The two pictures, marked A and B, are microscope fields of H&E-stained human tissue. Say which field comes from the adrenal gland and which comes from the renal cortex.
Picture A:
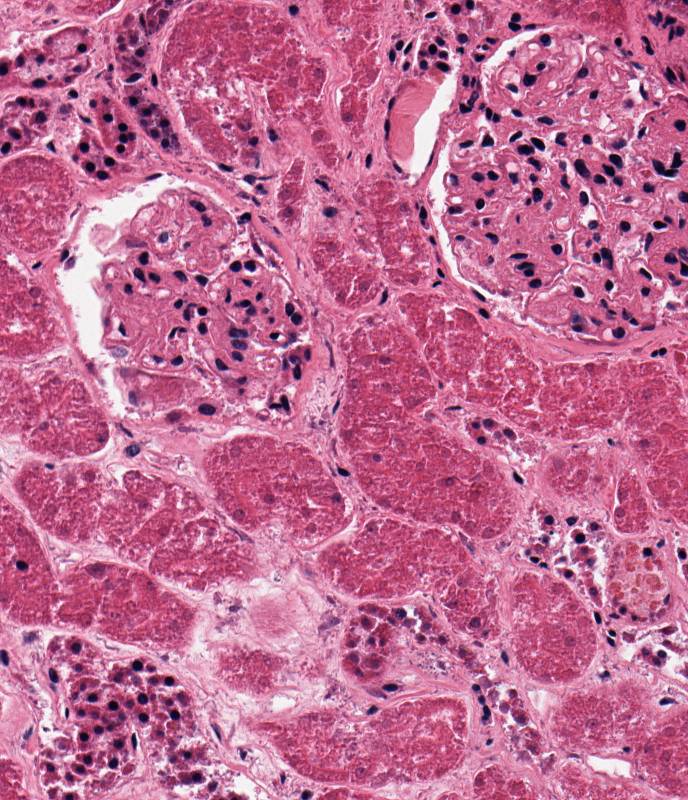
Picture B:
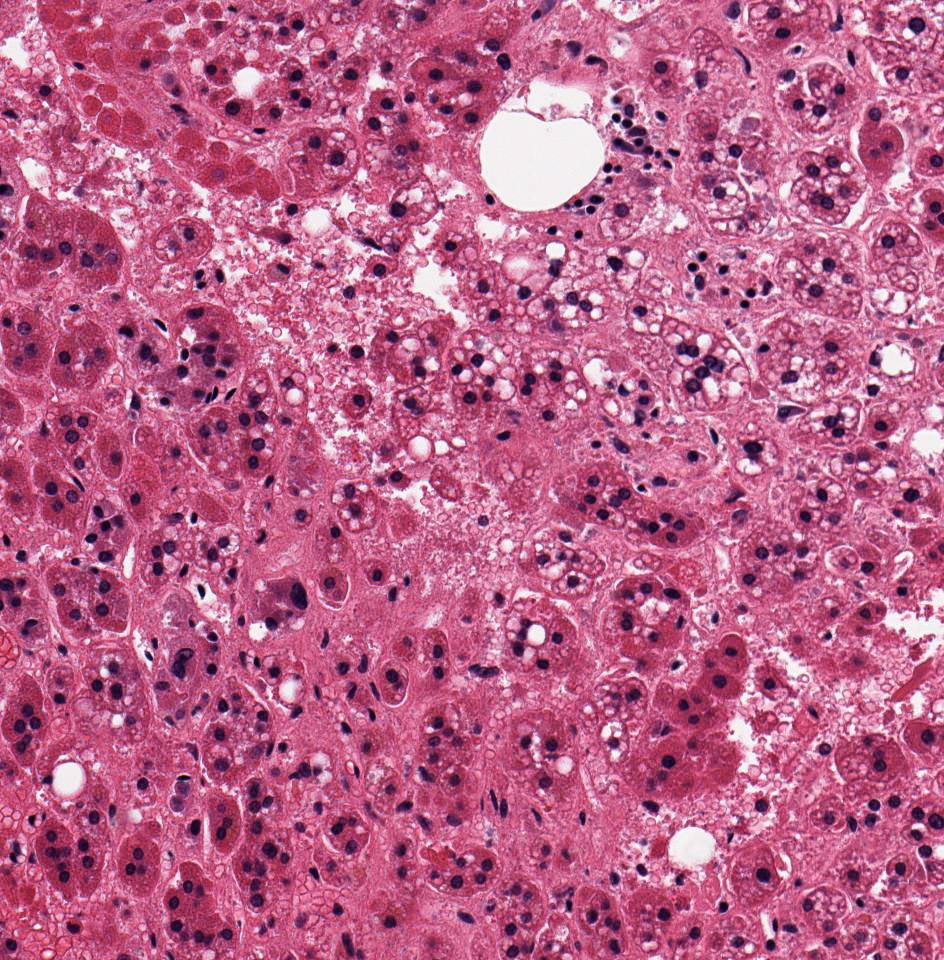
A: renal cortex
B: adrenal gland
